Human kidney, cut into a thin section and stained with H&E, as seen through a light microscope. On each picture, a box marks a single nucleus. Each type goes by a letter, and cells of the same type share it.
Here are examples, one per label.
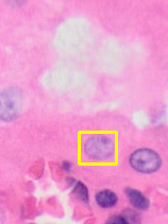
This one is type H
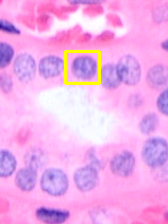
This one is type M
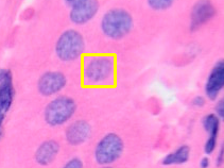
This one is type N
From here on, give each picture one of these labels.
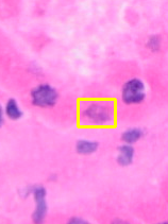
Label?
type H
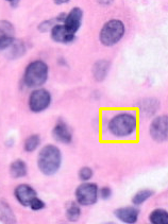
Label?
type M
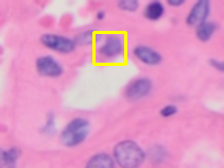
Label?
type M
